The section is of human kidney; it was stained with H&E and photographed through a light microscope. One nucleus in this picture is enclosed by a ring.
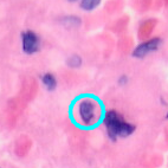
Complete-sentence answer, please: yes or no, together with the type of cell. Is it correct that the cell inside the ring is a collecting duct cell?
No, the cell inside the ring is correctly named an endothelial cell; it is not a collecting duct cell.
